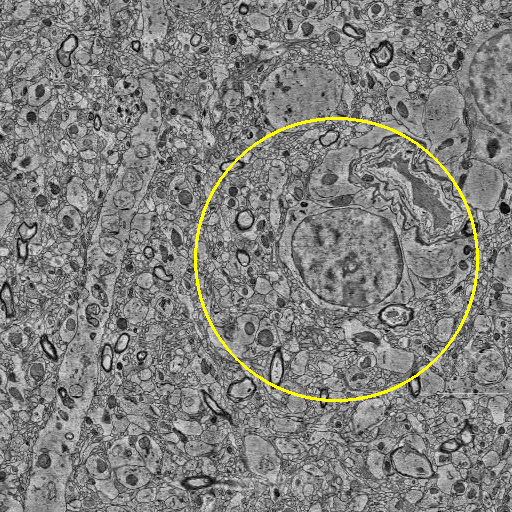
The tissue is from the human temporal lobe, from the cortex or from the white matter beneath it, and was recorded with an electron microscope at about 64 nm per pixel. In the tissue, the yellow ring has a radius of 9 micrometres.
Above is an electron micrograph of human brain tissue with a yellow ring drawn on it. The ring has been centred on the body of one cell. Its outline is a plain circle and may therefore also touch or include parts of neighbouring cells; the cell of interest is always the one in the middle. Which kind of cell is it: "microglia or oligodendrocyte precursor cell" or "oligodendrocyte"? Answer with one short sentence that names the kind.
The ring's central cell body is that of a microglial cell or oligodendrocyte precursor cell.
